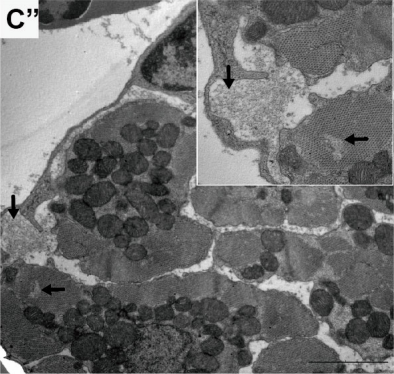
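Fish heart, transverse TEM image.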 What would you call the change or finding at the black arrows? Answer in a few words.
Myofibril loss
